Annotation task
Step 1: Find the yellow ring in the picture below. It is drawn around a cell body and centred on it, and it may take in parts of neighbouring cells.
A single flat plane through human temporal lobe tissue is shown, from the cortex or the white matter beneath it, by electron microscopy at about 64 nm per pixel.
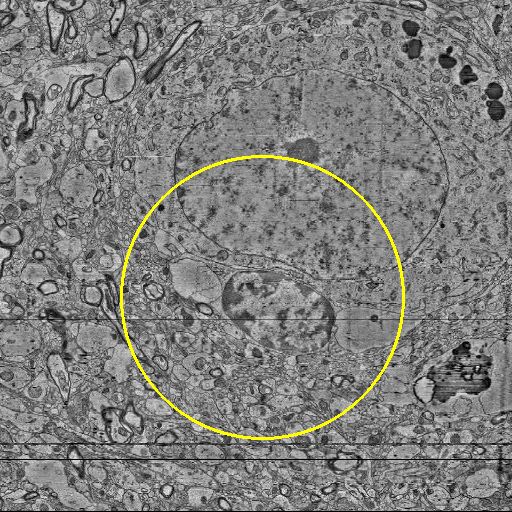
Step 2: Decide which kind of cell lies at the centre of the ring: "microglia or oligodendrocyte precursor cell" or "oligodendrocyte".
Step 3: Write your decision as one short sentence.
The kind of cell at the ring's centre is a microglial cell or oligodendrocyte precursor cell.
